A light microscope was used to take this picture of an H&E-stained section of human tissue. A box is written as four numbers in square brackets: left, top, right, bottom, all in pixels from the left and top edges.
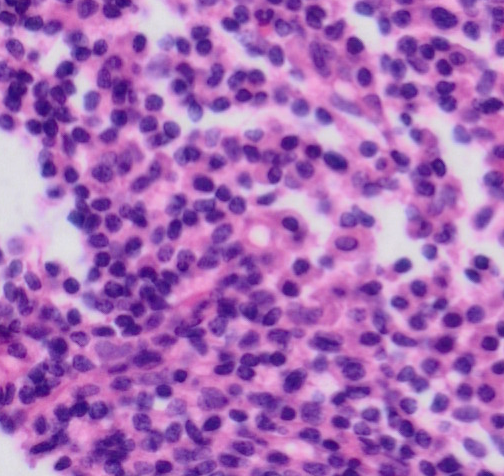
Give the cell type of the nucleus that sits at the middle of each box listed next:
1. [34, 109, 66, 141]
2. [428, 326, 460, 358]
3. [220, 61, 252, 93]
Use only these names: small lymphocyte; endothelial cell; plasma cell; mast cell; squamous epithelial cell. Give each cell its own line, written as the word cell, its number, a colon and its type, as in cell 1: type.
cell 1: small lymphocyte
cell 2: plasma cell
cell 3: small lymphocyte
